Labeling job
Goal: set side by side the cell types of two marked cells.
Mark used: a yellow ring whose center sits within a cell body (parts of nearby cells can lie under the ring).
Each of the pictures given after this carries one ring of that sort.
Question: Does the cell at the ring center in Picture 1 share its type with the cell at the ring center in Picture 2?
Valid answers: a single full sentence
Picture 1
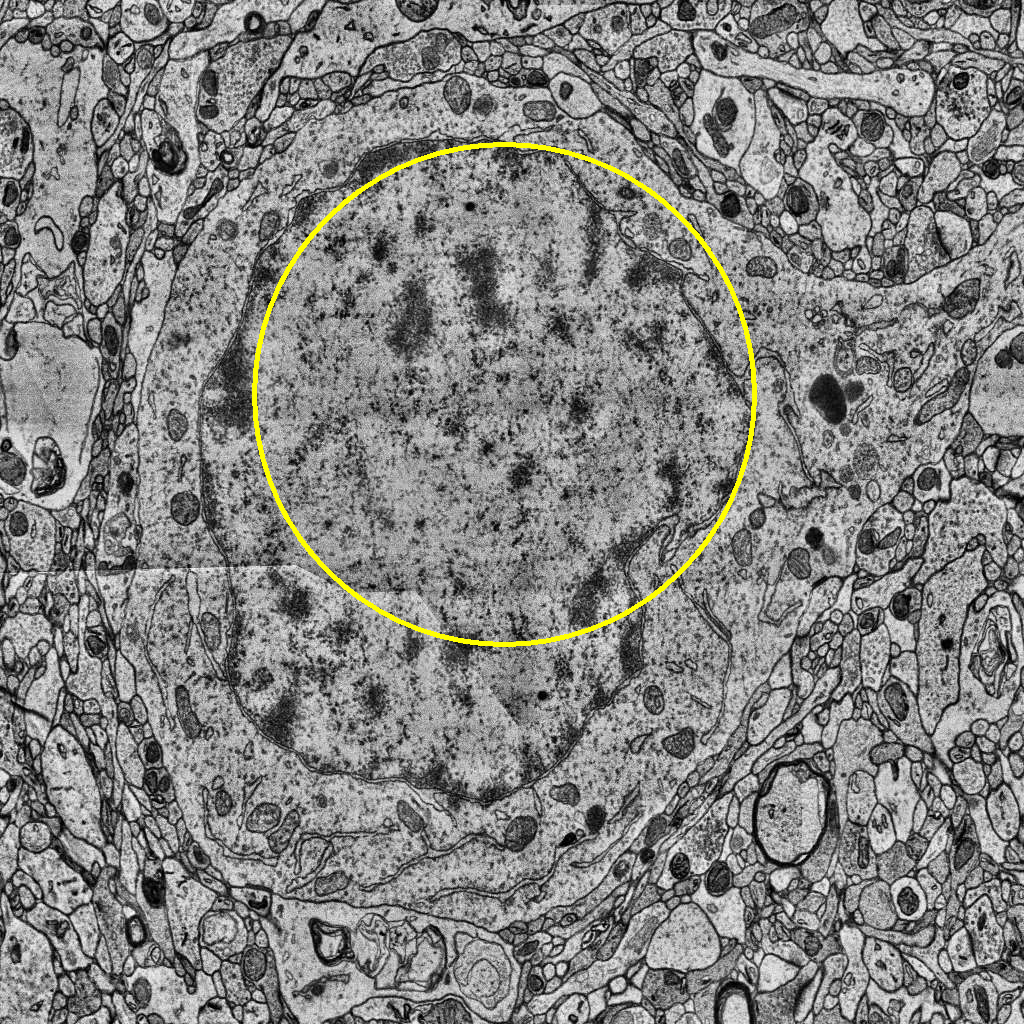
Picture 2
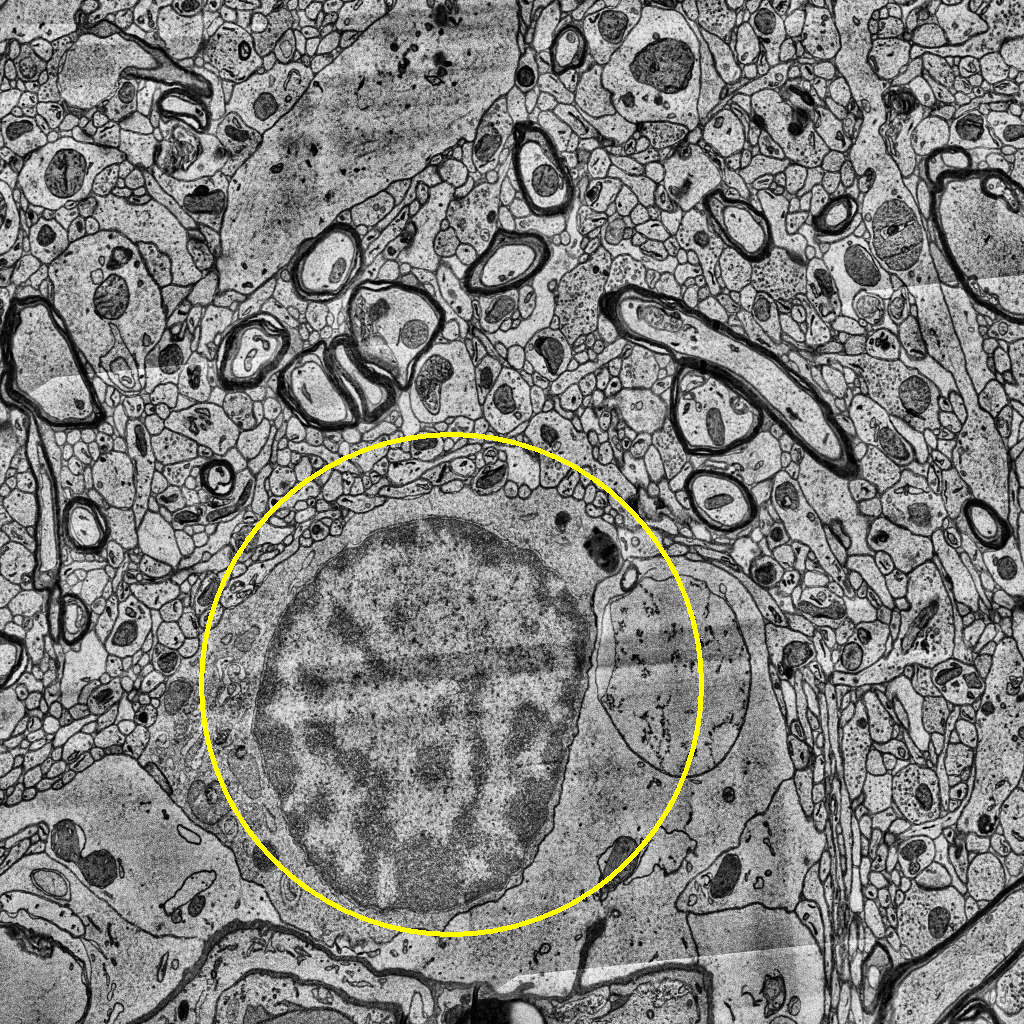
No, in Pictures 1 and 2 the cells at the ring centers have separate types.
